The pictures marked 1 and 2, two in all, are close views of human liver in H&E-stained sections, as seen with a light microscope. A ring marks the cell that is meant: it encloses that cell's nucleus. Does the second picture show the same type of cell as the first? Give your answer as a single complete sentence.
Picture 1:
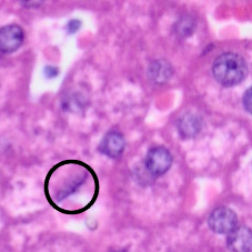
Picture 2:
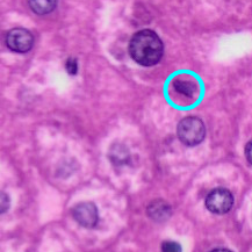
No, the types are not the same, since picture 1 shows an endothelial cell and picture 2 a “fibroblast or stellate cell”.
